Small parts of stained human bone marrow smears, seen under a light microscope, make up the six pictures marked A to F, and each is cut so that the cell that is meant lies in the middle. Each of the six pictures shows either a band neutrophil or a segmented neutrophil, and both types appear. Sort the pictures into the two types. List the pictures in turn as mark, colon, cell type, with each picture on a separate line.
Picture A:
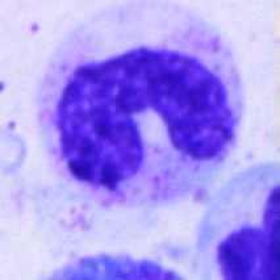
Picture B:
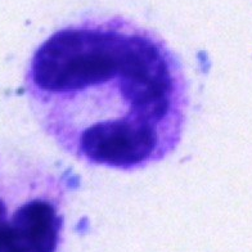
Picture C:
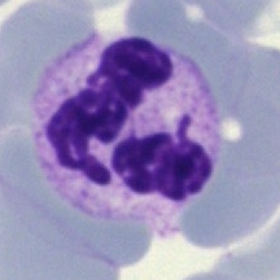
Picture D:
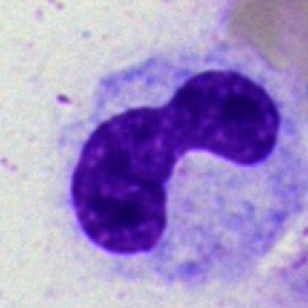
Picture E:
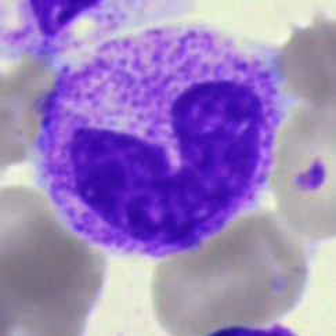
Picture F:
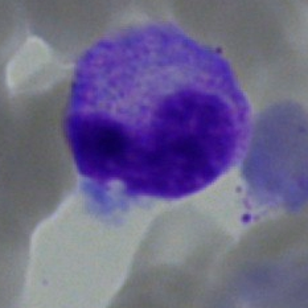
A: band neutrophil
B: segmented neutrophil
C: segmented neutrophil
D: band neutrophil
E: band neutrophil
F: band neutrophil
